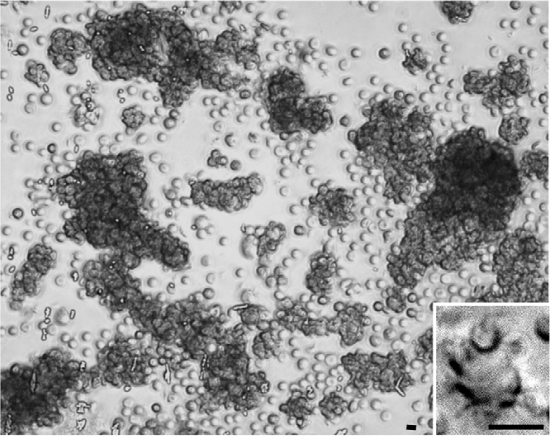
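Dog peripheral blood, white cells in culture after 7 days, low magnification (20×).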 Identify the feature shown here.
Spheres.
